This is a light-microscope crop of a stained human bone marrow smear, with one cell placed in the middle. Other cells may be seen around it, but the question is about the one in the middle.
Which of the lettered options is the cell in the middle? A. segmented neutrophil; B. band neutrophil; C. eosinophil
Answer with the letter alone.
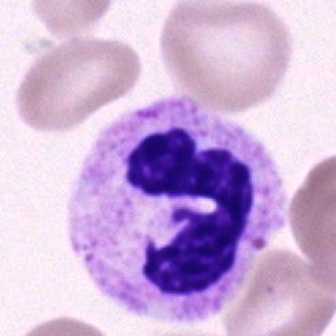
A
